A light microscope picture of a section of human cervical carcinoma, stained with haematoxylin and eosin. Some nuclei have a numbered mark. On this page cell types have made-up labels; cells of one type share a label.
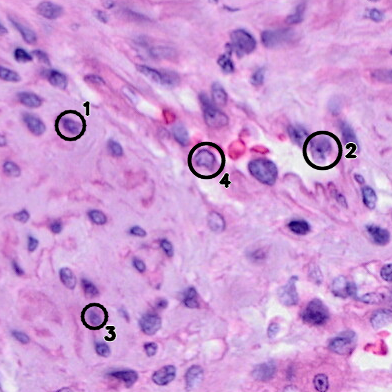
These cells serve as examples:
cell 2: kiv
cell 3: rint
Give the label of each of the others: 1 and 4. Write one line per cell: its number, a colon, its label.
1: rint
4: kiv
